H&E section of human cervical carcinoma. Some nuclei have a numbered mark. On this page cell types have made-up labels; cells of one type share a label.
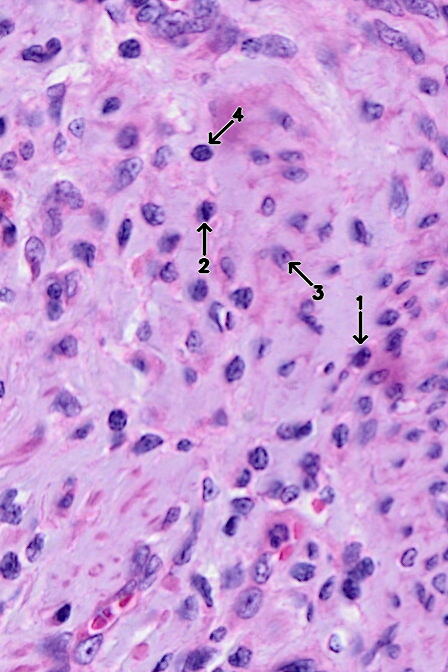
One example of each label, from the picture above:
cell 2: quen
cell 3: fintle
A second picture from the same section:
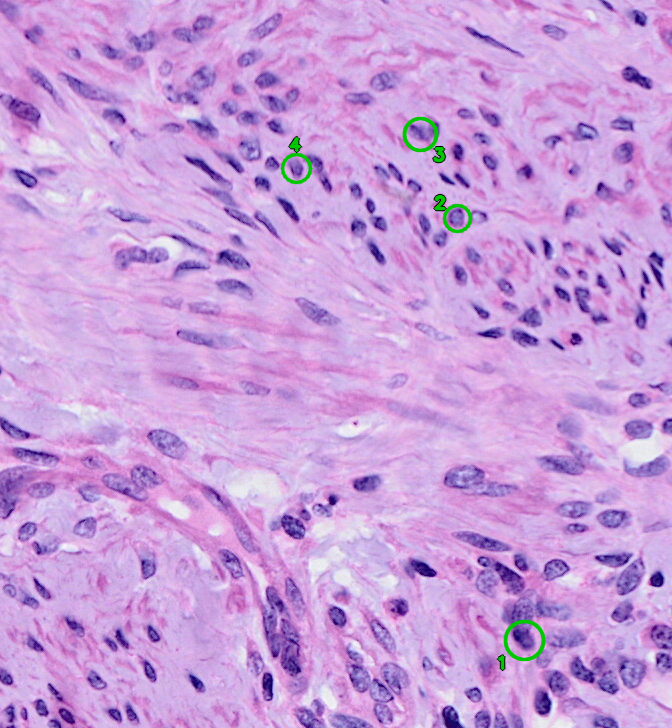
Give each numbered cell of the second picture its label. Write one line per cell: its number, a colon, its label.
1: quen
2: fintle
3: fintle
4: fintle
